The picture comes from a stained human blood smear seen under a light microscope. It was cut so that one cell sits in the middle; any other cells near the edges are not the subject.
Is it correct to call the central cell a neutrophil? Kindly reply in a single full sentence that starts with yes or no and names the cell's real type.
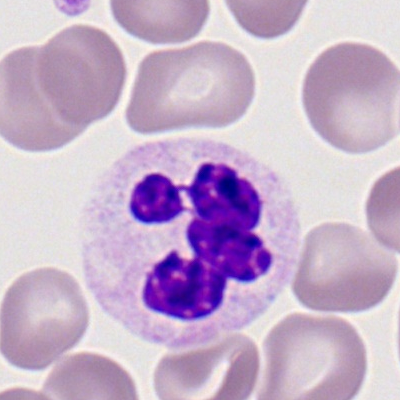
Yes, the cell at the heart of the crop is a neutrophil.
